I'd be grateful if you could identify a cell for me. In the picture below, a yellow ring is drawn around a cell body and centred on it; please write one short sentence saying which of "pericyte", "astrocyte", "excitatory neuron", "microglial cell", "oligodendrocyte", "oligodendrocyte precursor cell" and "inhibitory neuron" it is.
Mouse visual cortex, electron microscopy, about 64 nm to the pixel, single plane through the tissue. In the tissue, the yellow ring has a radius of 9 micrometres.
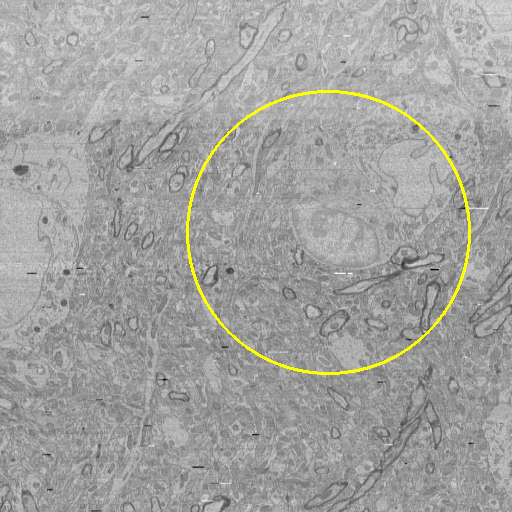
The cell under the ring's centre is an oligodendrocyte.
